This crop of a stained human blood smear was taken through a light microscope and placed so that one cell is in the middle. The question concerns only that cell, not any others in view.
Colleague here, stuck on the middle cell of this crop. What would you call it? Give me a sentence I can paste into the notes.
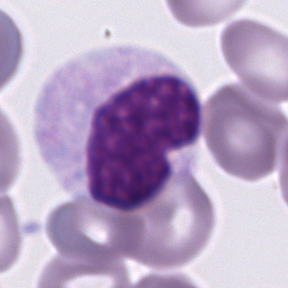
The cell at the middle of the crop is recognized as a band neutrophil.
